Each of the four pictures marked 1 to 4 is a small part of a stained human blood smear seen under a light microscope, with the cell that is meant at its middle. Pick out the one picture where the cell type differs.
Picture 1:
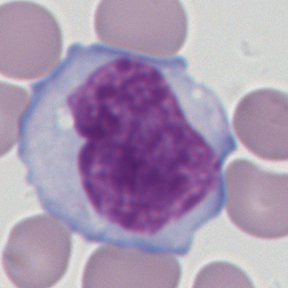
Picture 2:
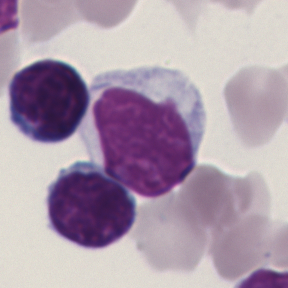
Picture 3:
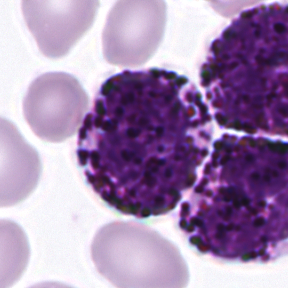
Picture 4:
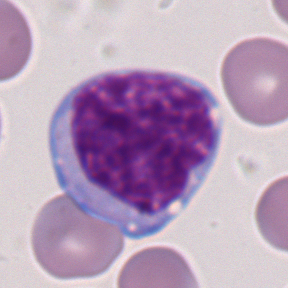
3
